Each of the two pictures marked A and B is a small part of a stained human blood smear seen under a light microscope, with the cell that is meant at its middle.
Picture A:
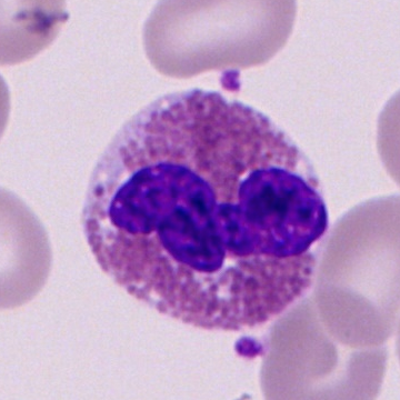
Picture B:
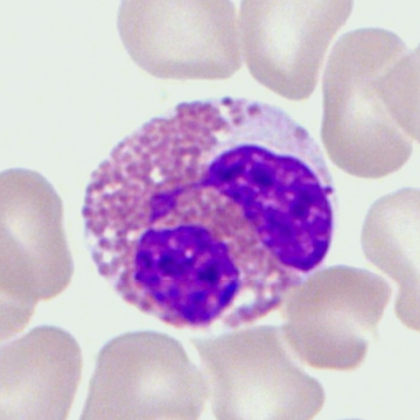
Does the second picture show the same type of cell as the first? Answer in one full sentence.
Yes, the two pictures both show eosinophils.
